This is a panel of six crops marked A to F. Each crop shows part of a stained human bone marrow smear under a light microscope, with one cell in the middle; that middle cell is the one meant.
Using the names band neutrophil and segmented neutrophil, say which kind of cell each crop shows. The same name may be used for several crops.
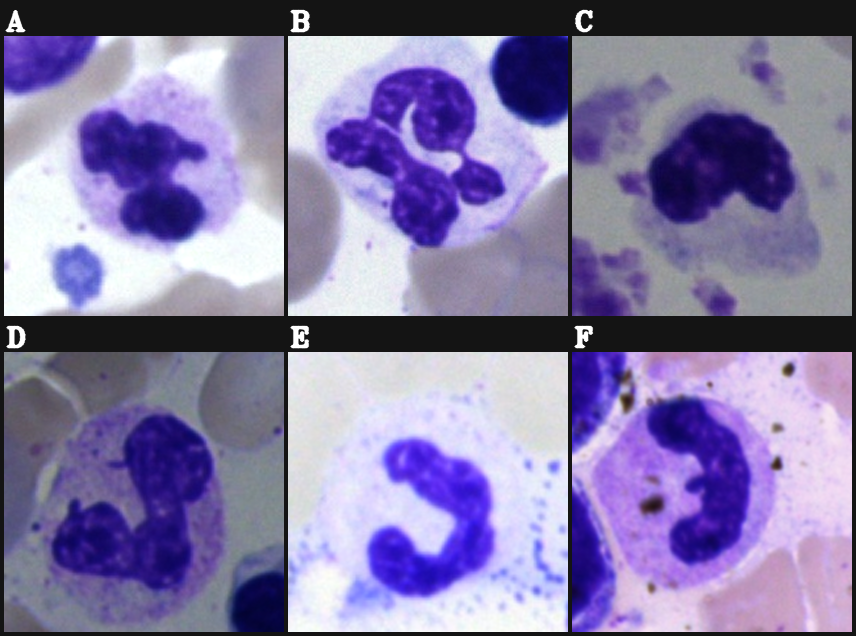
A: segmented neutrophil
B: segmented neutrophil
C: segmented neutrophil
D: band neutrophil
E: segmented neutrophil
F: band neutrophil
